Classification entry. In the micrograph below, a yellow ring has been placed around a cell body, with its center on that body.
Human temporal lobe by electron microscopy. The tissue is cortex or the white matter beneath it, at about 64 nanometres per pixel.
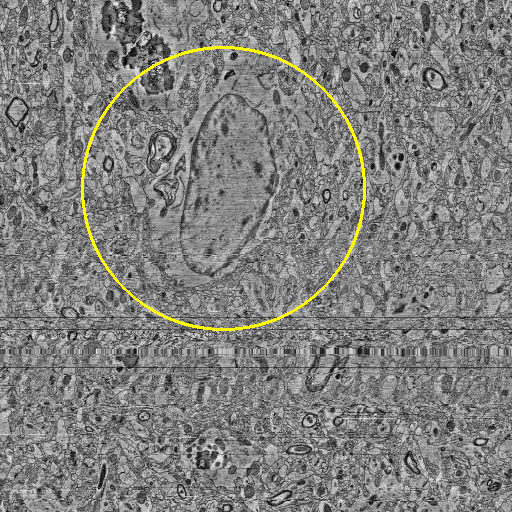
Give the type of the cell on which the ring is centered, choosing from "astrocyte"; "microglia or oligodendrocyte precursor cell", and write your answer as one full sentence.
The cell body at the center of the yellow ring belongs to an astrocyte.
